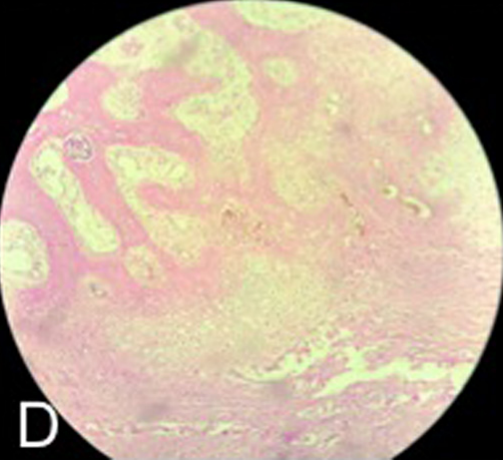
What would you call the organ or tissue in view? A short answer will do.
Disorganized trabecular bone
